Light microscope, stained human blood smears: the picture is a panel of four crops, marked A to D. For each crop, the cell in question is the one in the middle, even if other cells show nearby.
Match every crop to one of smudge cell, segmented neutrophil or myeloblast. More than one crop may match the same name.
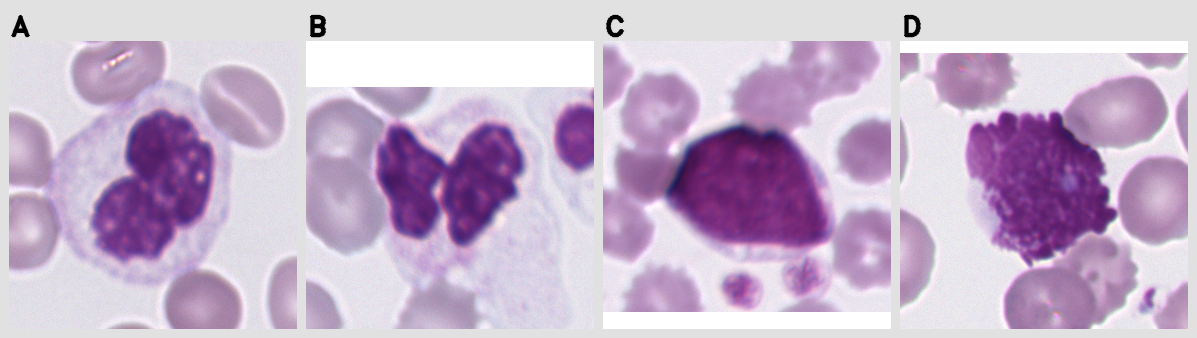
A: segmented neutrophil
B: segmented neutrophil
C: myeloblast
D: smudge cell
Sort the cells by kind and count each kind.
segmented neutrophil: 2
myeloblast: 1
smudge cell: 1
